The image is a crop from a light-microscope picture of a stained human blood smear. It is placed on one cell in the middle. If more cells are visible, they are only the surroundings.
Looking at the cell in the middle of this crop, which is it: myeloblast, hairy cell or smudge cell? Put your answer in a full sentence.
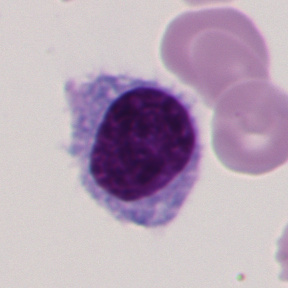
Centred in the crop is a hairy cell.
